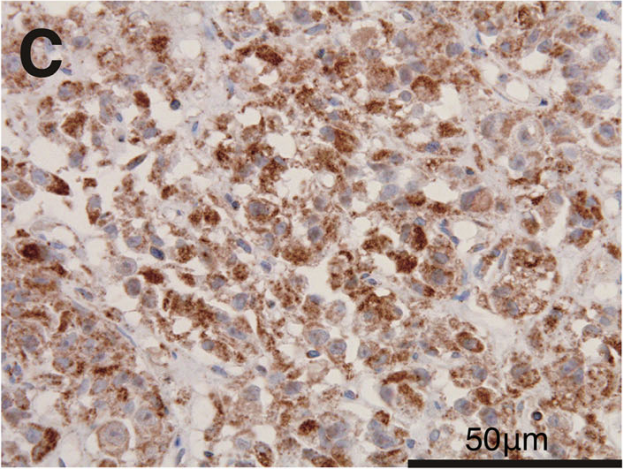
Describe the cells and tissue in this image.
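Loosely arranged tumor cells with rounded to oval nuclei counterstained pale blue. Most cells show coarse, granular brown staining in their cytoplasm, varying in intensity from cell to cell, with small clear spaces between the cells.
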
